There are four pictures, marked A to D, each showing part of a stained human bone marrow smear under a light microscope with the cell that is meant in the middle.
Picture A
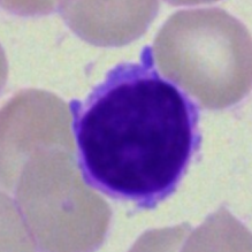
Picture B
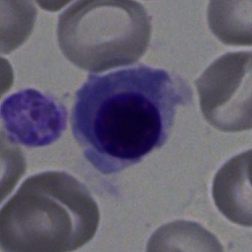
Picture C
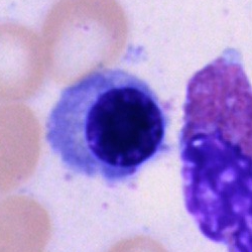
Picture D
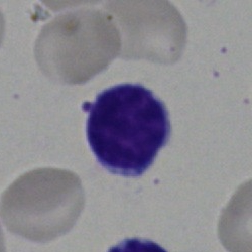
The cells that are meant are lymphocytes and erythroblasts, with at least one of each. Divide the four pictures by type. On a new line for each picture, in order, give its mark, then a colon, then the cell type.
A: lymphocyte
B: erythroblast
C: erythroblast
D: lymphocyte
